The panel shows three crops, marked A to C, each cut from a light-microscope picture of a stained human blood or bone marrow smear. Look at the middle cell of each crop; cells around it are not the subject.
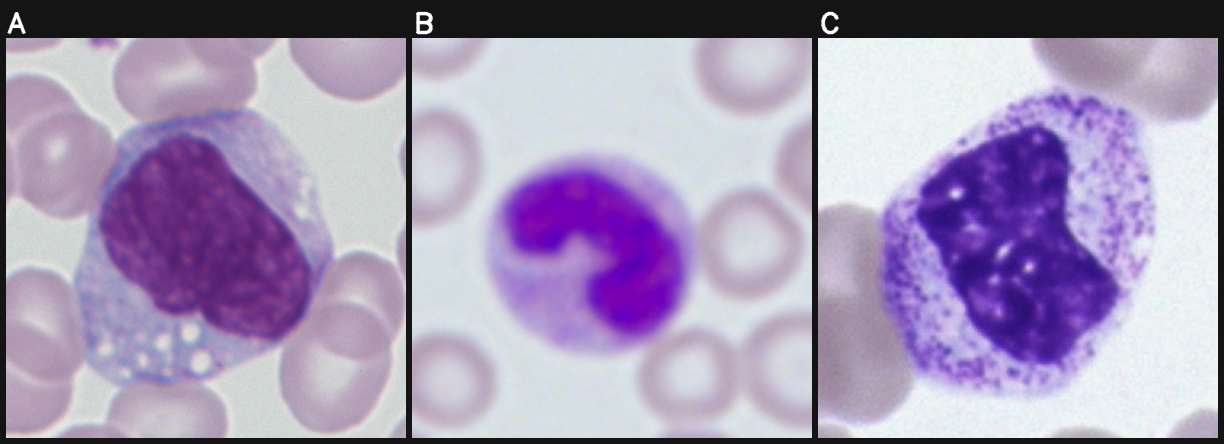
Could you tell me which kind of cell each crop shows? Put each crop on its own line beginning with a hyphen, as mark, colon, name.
- A: monocyte
- B: band neutrophil
- C: band neutrophil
